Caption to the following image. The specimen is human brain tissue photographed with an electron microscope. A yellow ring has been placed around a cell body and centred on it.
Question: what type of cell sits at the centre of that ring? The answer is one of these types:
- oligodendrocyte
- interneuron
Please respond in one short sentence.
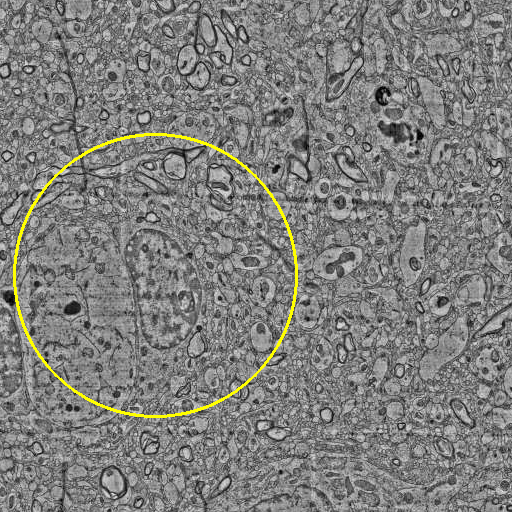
The ring surrounds the cell body of an oligodendrocyte.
